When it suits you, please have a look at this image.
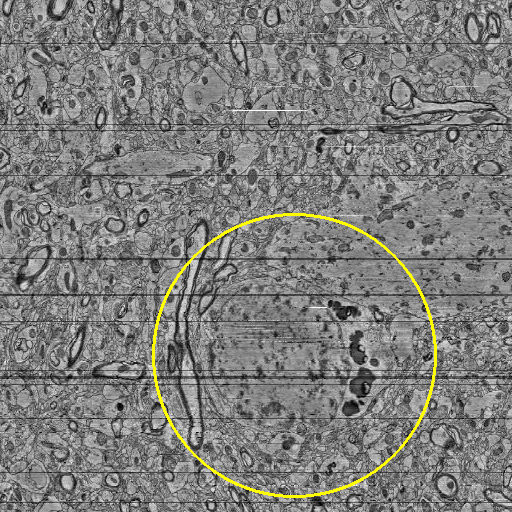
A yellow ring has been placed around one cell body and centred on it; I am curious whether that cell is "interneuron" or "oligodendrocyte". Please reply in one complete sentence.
The ringed cell, an interneuron, has its body at the centre of the yellow ring.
